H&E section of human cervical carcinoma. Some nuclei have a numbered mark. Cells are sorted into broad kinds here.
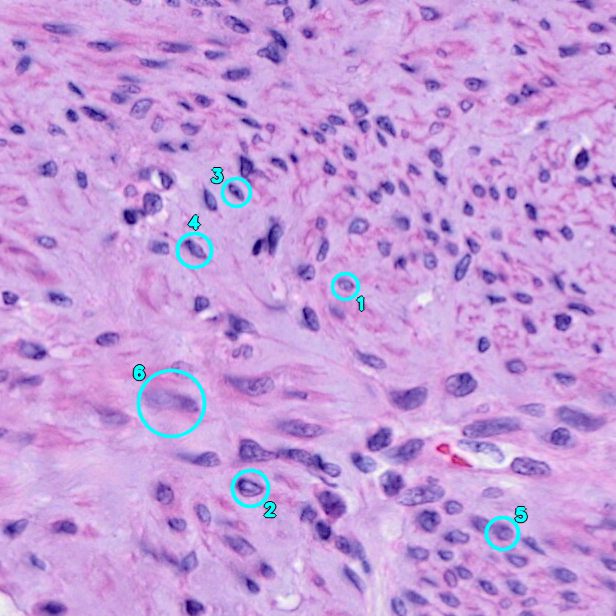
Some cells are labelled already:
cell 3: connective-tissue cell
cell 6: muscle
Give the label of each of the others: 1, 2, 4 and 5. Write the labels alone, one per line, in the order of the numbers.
muscle
muscle
connective-tissue cell
muscle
